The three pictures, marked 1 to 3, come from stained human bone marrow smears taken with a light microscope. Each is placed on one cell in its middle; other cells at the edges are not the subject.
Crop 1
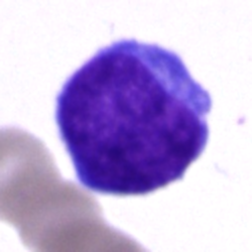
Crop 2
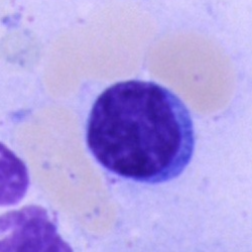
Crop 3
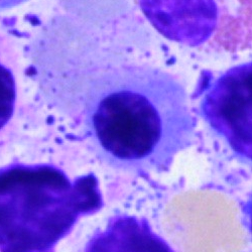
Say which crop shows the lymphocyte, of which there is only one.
2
